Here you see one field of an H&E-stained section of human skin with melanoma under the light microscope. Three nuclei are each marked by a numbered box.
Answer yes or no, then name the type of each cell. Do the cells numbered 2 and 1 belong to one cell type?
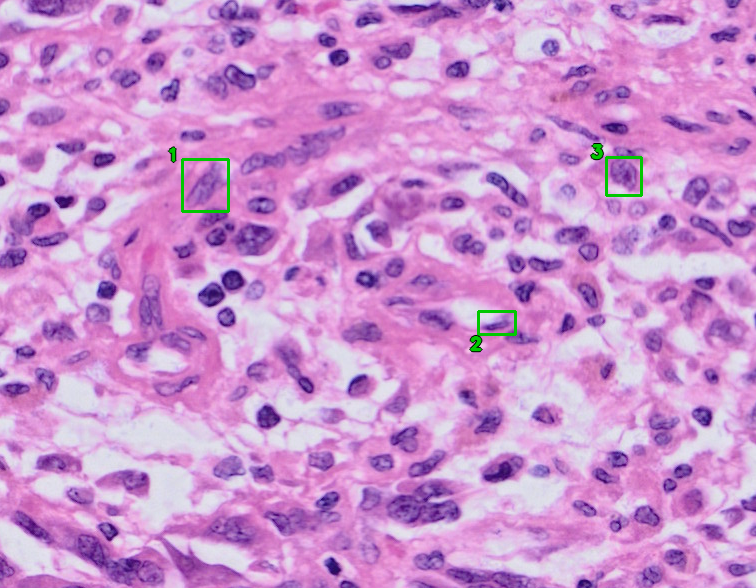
Yes, both are endothelial cells.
